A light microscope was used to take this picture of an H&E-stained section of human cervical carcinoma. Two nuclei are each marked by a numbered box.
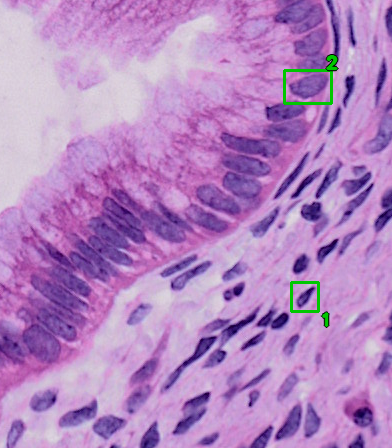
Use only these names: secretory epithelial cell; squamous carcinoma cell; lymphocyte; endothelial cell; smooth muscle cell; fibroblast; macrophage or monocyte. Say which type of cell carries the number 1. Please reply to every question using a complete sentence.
The label 1 in this section denotes a fibroblast.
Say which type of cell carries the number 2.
Looking at the numbered marks, cell 2 is a secretory epithelial cell.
